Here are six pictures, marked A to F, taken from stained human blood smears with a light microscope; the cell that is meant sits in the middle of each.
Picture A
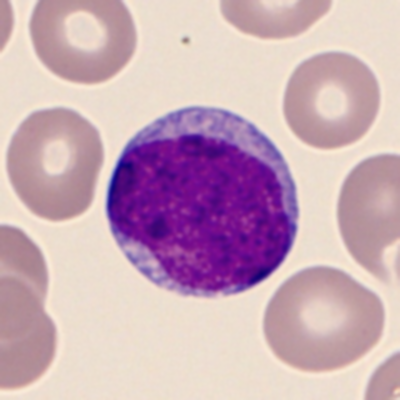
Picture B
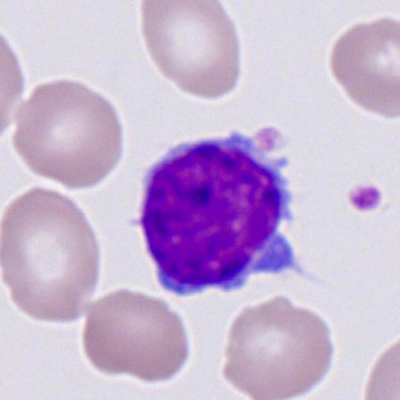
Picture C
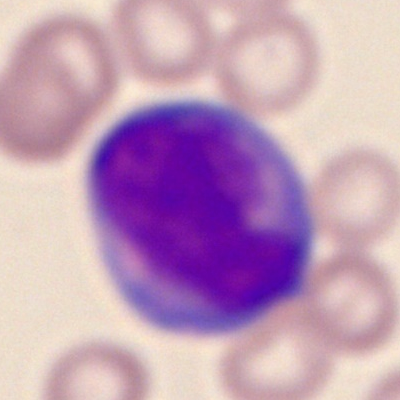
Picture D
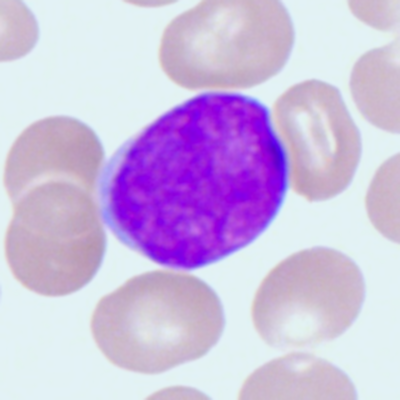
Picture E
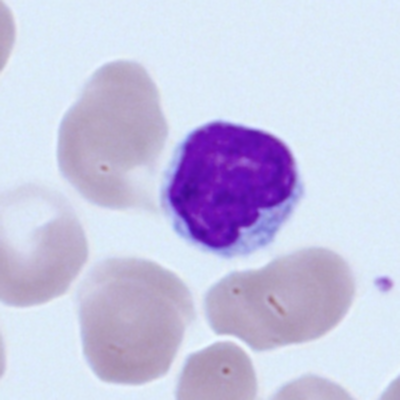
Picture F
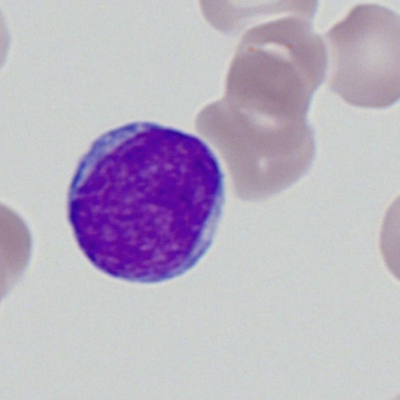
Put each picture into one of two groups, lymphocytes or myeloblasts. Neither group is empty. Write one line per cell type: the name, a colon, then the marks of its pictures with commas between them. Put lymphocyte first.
lymphocyte: B, E
myeloblast: A, C, D, F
